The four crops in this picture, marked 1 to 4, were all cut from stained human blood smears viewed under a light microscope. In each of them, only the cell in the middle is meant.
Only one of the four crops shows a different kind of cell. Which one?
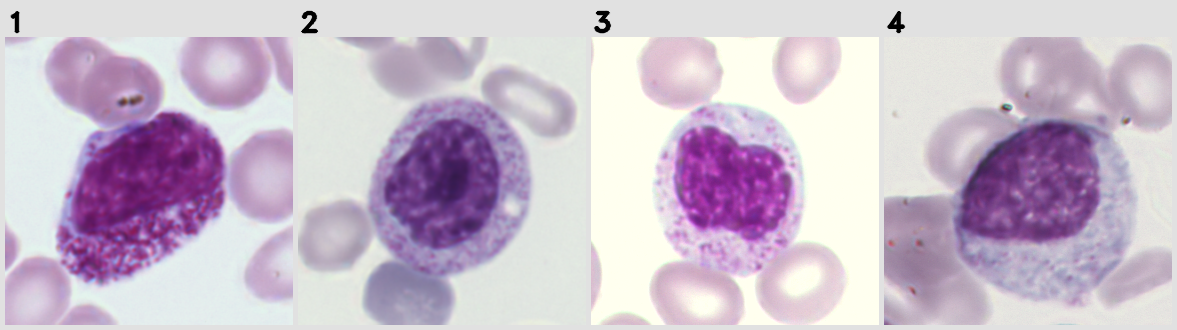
3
